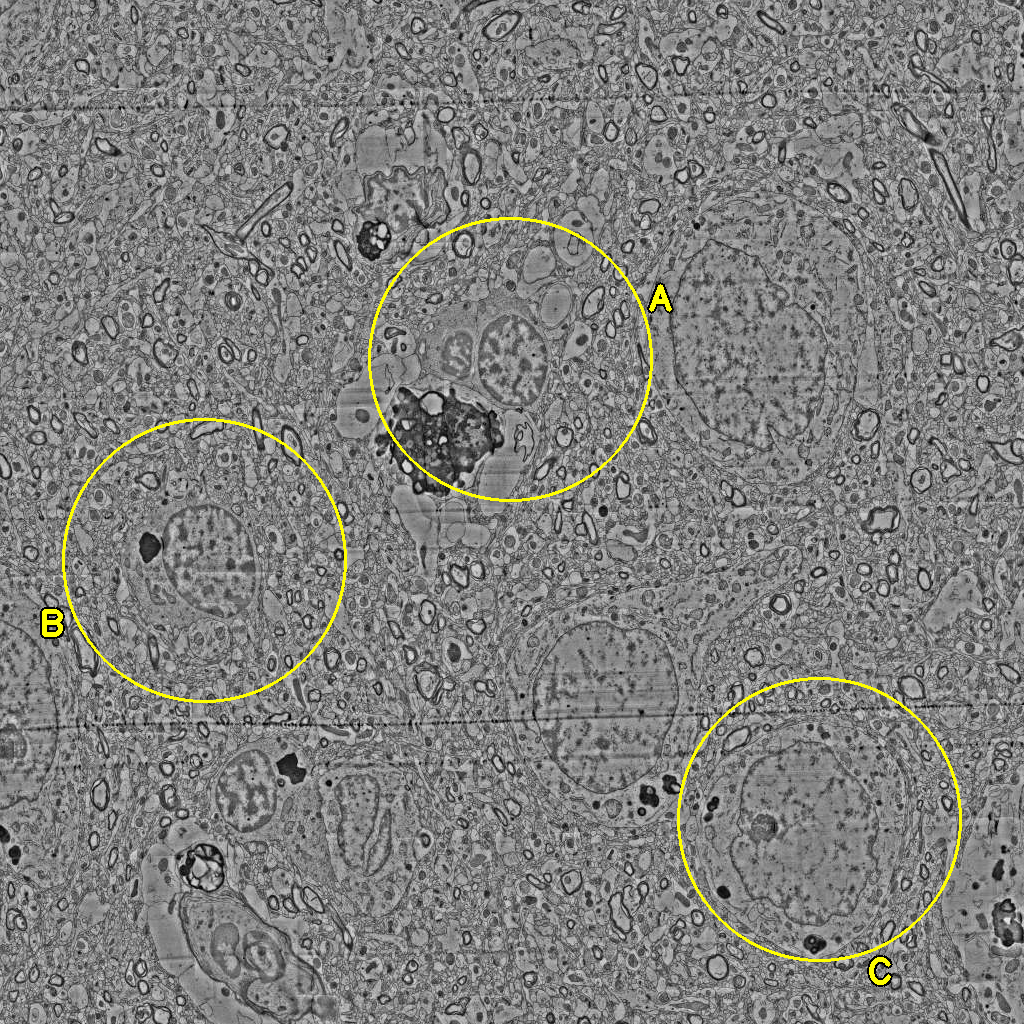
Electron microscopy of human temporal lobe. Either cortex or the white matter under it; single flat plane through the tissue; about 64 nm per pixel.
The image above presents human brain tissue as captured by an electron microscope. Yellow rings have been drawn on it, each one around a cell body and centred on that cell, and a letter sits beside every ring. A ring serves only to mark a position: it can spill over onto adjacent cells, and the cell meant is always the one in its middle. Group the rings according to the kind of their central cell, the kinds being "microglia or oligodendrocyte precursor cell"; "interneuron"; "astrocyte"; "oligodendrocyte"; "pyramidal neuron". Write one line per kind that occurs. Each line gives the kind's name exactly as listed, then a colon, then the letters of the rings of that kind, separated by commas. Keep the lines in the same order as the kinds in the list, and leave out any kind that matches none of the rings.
oligodendrocyte: A, B
pyramidal neuron: C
